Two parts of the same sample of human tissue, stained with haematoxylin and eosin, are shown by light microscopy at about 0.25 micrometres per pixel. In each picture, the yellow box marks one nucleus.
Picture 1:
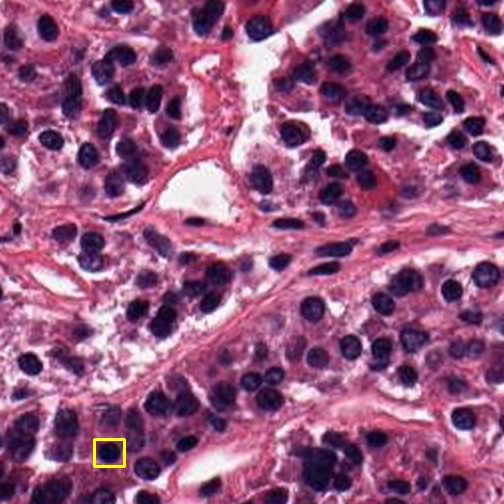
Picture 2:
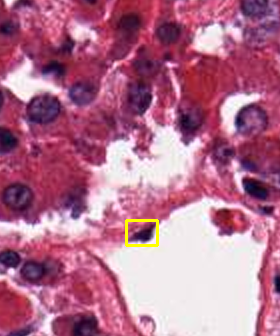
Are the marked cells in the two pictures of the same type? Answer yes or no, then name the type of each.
No, the first is an anterior pituitary cell and the second an endothelial cell.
